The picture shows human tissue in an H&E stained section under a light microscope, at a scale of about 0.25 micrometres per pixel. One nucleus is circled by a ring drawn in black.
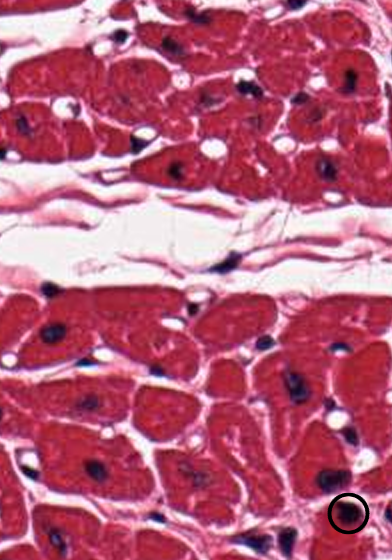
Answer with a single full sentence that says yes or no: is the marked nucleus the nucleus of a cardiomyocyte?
Yes, the cell that holds the marked nucleus is a cardiomyocyte.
